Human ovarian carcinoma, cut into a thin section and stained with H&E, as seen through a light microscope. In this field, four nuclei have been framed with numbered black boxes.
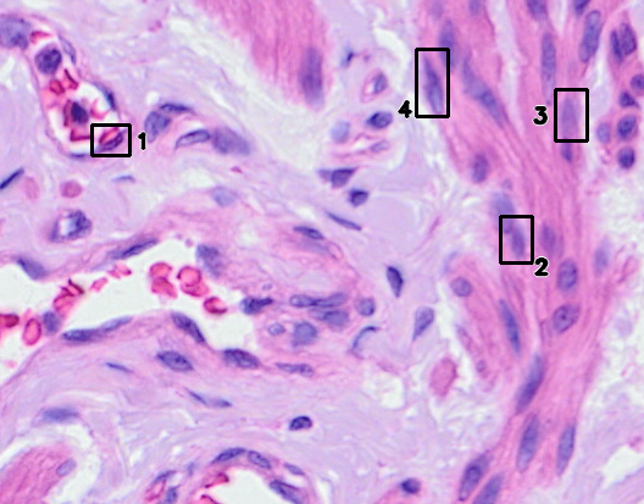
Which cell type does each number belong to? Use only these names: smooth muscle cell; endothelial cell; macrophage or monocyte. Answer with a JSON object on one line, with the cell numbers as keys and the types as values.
{"1": "endothelial cell", "2": "smooth muscle cell", "3": "smooth muscle cell", "4": "smooth muscle cell"}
